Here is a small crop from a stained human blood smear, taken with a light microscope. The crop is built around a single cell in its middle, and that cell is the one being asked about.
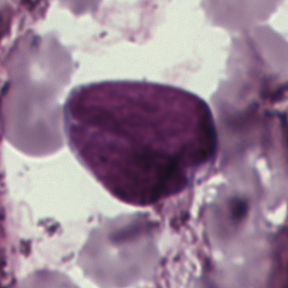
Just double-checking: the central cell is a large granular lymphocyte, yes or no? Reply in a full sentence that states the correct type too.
No, the middle cell is not a large granular lymphocyte, it being a myeloblast.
